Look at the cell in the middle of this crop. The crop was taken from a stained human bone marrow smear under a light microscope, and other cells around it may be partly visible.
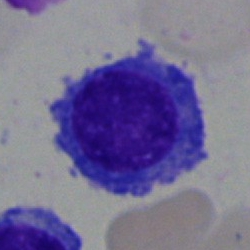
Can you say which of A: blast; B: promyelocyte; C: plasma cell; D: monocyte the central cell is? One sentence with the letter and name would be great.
Option C is the right one, for the cell in the middle is a plasma cell.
